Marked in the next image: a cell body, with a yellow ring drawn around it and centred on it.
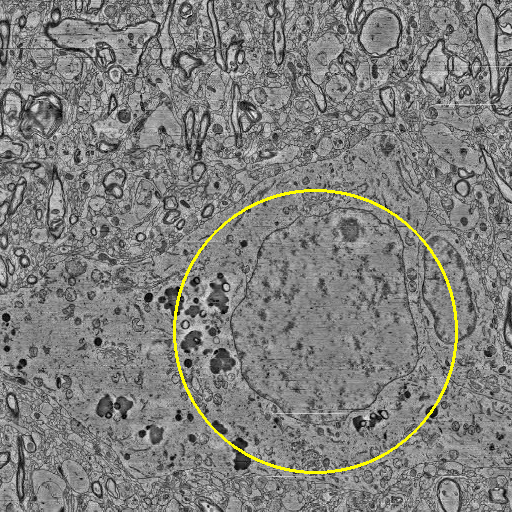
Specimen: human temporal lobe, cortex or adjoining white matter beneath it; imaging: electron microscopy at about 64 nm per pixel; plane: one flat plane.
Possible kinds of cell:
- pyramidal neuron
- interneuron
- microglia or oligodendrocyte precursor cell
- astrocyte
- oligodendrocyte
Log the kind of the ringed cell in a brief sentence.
The ringed cell body is that of a pyramidal neuron.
